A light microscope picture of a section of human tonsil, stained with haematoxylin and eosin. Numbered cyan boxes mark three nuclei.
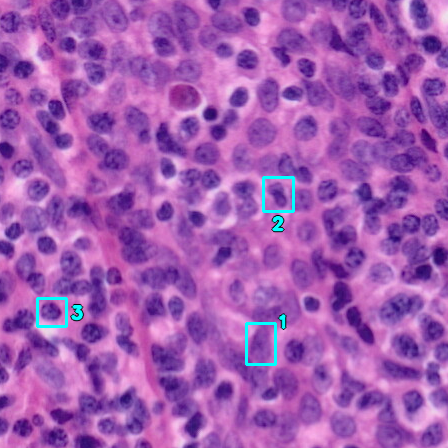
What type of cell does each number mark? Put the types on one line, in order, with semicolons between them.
squamous epithelial cell; squamous epithelial cell; plasma cell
